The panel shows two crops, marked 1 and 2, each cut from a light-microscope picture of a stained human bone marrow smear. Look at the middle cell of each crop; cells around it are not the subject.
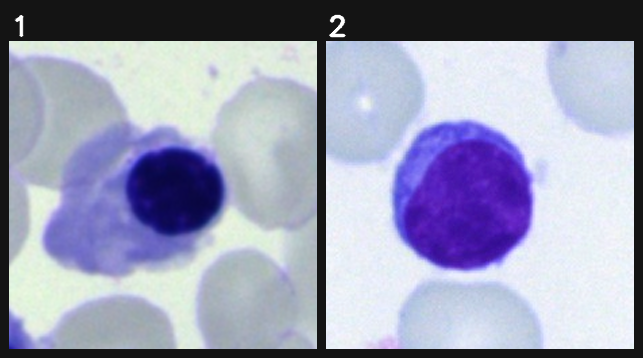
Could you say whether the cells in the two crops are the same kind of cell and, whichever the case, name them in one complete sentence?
No, a lymphocyte is the cell in crop 2, and crop 1 contains an erythroblast.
